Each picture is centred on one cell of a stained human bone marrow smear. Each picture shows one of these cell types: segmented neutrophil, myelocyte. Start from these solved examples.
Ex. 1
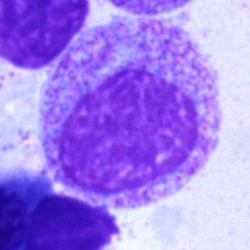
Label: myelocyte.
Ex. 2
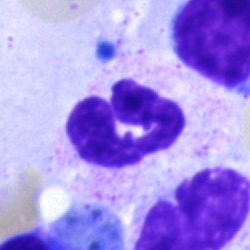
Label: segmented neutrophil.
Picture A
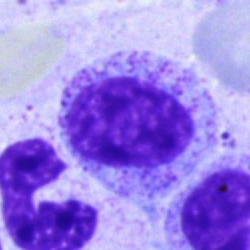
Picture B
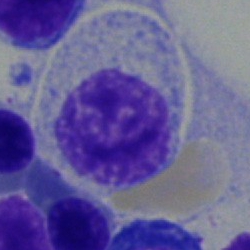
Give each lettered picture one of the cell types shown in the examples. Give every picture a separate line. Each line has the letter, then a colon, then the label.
A: myelocyte.
B: myelocyte.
